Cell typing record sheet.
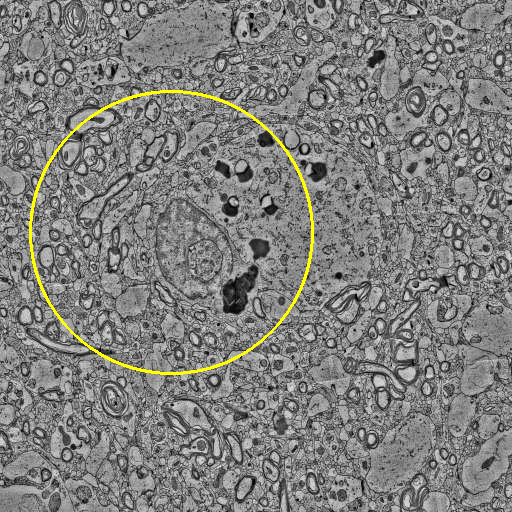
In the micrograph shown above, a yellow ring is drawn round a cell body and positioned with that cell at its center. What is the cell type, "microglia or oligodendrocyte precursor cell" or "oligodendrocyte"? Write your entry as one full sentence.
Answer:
The cell body at the center of the ring belongs to an oligodendrocyte.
